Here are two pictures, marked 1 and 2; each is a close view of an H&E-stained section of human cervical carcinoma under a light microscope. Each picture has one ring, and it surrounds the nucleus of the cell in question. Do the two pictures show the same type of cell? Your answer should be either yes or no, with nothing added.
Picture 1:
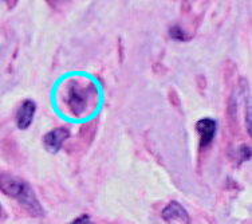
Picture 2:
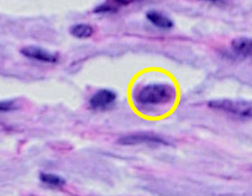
yes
